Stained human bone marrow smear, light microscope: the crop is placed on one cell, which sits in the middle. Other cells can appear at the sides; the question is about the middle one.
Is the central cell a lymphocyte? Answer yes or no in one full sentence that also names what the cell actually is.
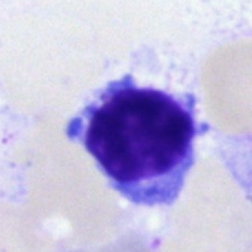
Yes, the middle cell of the field is a lymphocyte.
